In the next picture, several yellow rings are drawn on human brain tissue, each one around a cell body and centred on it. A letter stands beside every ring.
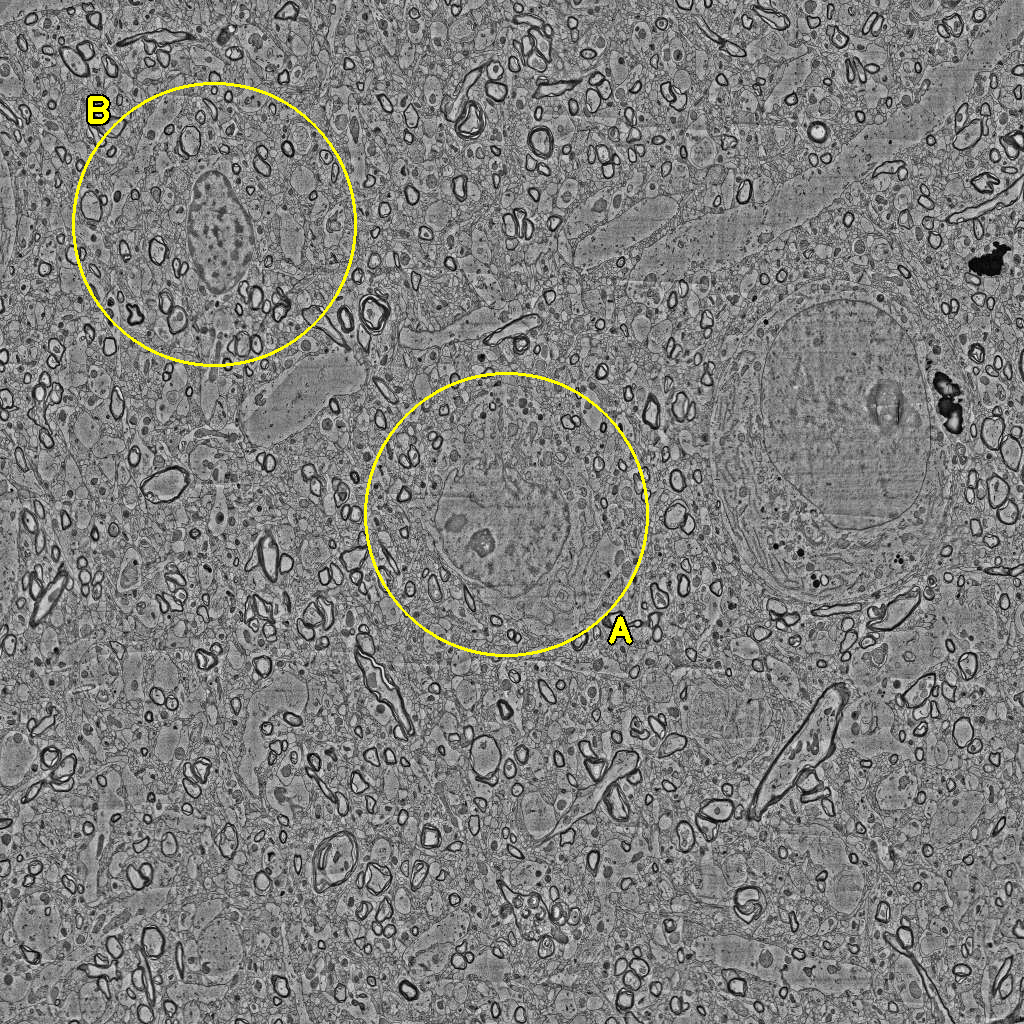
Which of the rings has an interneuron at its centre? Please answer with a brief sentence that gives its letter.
Ring A has it at its centre.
